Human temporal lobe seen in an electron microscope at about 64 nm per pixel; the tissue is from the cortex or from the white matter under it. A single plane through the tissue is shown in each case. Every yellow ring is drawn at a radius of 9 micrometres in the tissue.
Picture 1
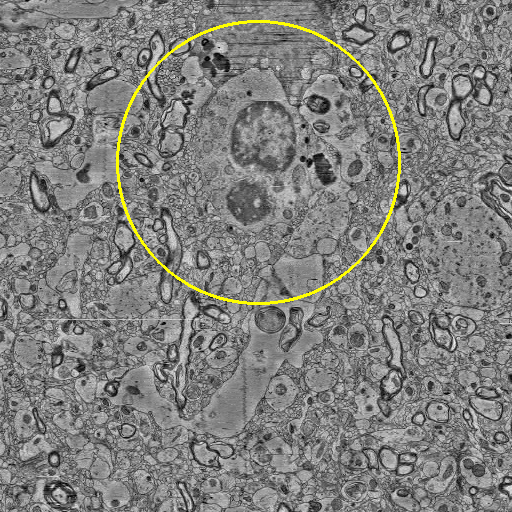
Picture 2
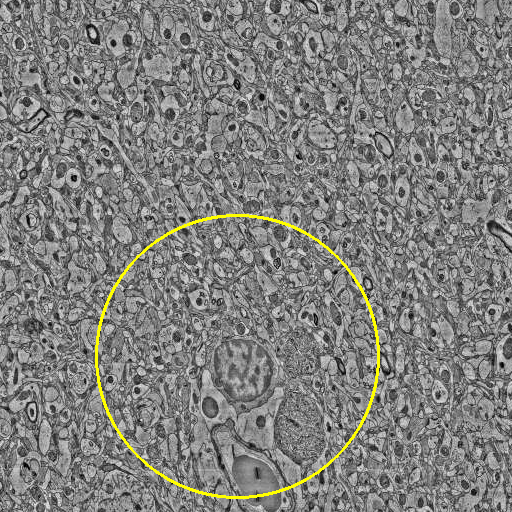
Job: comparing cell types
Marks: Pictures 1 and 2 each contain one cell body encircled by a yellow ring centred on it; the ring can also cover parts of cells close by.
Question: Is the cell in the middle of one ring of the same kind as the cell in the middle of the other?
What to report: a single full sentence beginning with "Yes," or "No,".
Yes, the cell at the ring centre in Picture 1 and its partner in Picture 2 are of one kind.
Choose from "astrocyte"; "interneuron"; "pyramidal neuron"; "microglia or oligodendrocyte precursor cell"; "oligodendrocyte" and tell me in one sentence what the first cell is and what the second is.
Each of the ringed cells, first and second, is an oligodendrocyte.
